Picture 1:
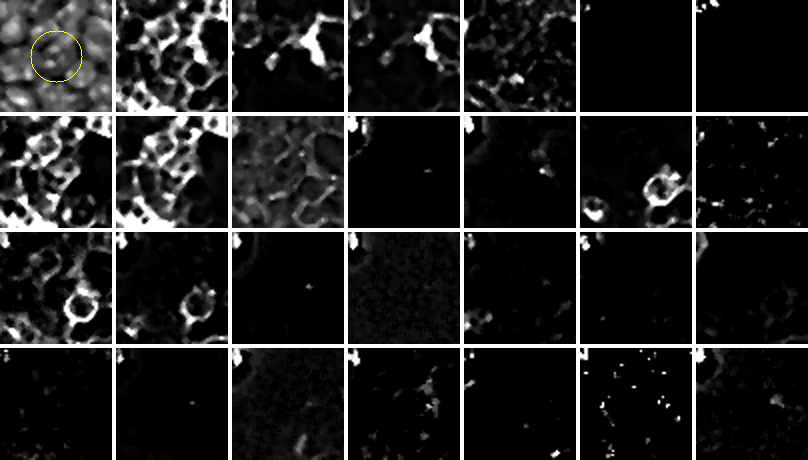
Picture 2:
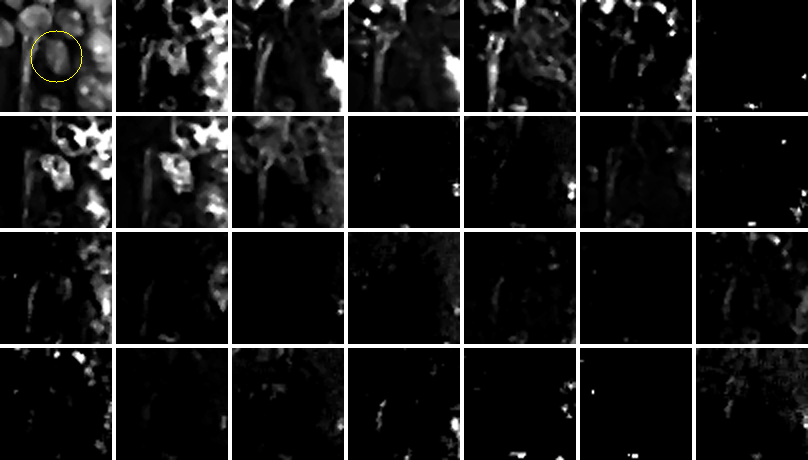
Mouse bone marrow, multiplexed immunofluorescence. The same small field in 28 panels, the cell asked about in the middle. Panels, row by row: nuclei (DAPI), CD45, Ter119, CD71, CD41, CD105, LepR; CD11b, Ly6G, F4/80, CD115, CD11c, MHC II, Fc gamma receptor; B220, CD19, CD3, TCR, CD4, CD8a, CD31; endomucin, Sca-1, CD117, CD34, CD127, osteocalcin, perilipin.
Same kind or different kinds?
Same: neutrophils.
